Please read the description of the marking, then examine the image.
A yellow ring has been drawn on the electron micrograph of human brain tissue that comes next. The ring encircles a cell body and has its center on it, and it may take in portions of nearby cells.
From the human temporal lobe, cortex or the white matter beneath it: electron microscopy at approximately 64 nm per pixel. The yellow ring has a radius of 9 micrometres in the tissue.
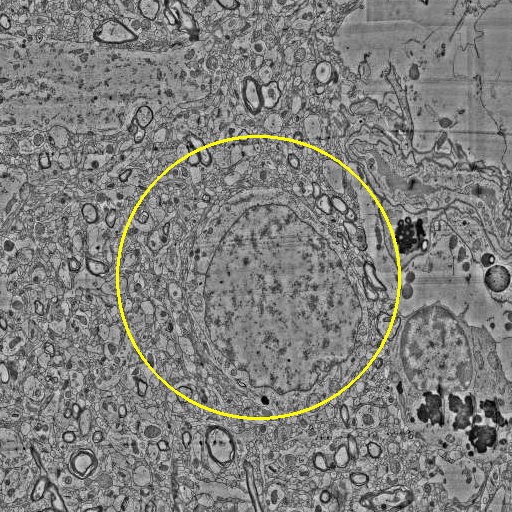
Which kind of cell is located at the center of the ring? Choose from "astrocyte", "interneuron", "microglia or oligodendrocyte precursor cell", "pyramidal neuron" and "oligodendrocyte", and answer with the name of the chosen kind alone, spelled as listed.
pyramidal neuron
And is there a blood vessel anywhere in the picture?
Yes.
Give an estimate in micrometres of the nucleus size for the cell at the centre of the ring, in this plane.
The nucleus has a long axis of about 12 micrometres and a short axis of about 10 micrometres in this plane.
